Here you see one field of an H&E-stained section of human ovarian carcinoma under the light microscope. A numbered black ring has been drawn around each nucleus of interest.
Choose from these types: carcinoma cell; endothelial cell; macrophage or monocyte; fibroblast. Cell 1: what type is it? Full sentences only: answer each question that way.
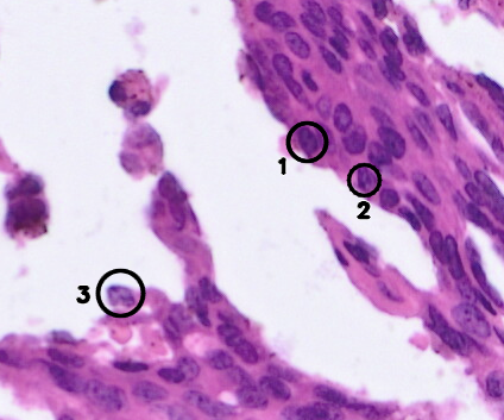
In the marked set, the cell given number 1 is a carcinoma cell.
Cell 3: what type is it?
The cell marked with the number 3 is a macrophage or monocyte.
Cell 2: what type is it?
The marked nucleus 2 is that of a macrophage or monocyte.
